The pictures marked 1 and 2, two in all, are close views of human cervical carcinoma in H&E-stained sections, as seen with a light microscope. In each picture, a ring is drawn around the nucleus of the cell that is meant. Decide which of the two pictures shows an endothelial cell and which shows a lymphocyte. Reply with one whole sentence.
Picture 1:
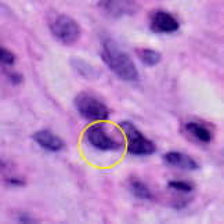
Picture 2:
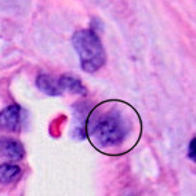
Picture 2 shows an endothelial cell, while picture 1 shows a lymphocyte.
